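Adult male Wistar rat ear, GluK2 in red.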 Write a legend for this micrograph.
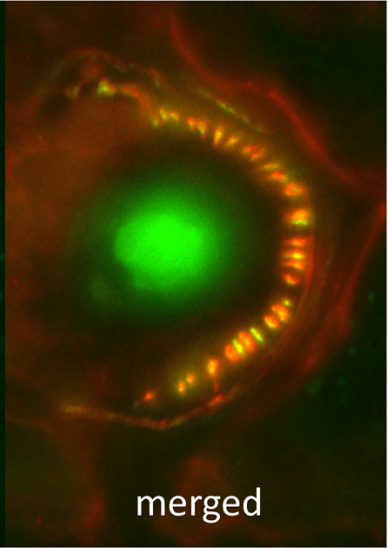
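A round structure in cross-section is encircled by a palisade of small, elongated nerve terminals arranged side by side like the staves of a barrel. The centre of the ring is filled by a large, brightly green, rounded body, and thin red-outlined concentric layers enclose the ring of terminals. This arrangement fits a hair follicle cut across, with its primary afferent terminals lying in a ring around the hair.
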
